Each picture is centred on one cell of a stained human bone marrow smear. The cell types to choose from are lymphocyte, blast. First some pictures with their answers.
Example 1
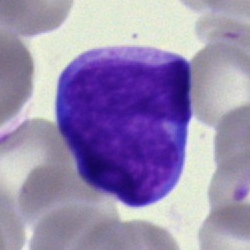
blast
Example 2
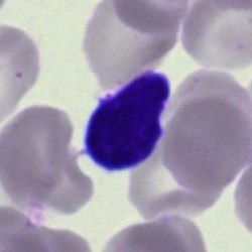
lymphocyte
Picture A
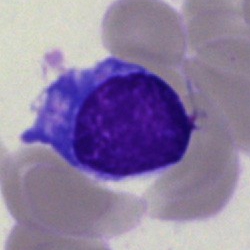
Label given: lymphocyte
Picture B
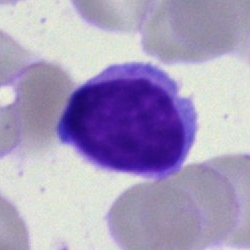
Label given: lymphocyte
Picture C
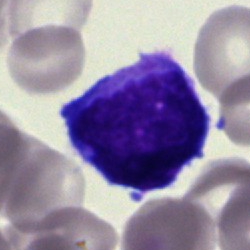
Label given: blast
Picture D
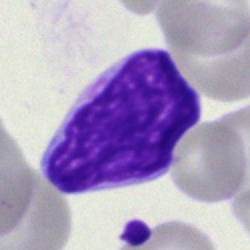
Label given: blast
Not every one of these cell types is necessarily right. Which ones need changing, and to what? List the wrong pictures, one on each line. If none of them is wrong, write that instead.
Nothing to fix; every label fits.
